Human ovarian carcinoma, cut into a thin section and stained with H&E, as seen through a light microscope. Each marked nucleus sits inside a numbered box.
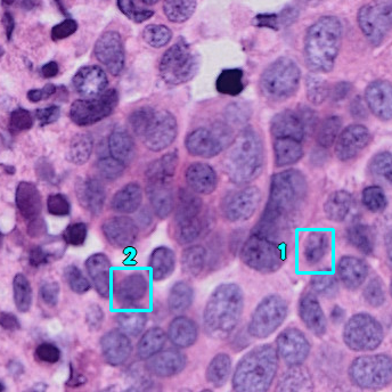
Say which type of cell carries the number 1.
macrophage or monocyte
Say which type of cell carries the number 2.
carcinoma cell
